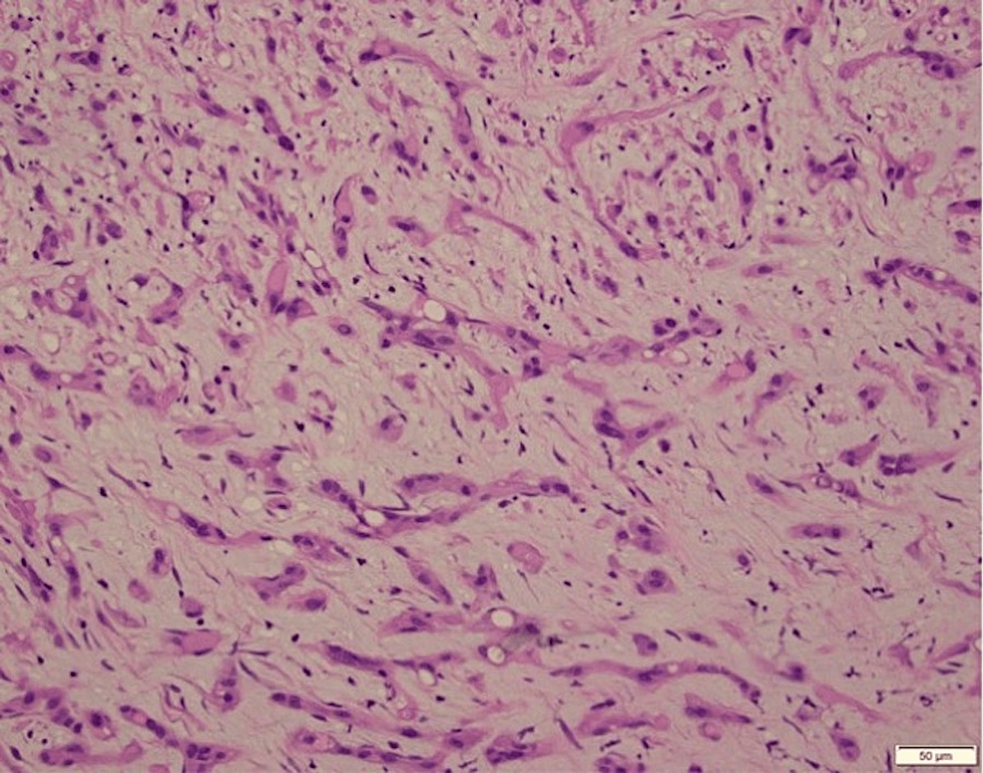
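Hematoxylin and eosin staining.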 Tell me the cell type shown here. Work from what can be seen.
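Epithelioid cells. Plump polygonal to elongated cells with abundant pink cytoplasm. Oval nuclei, larger than those of the scattered spindle stromal cells.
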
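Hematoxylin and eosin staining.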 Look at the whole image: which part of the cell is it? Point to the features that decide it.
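Scattered round clear spaces lie within the pink cytoplasm of some cord cells. So: cytoplasmic vacuoles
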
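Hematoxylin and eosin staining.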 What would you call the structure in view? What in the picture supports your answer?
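Cords. The large pink cells lie in narrow linear strands, one to two cells wide.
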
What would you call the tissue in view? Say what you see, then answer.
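Pale pink to grey, loose background between the cell cords. That points to this answer: hyalinized and myxoid stroma.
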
